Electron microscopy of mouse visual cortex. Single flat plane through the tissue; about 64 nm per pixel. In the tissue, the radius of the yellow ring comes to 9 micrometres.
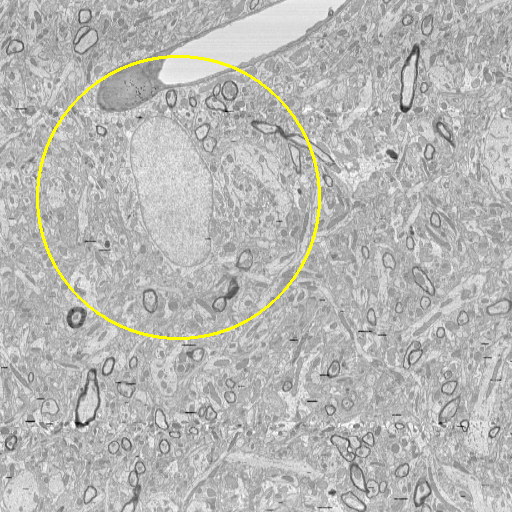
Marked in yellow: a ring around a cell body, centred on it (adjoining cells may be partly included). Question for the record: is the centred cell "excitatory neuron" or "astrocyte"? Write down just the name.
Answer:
astrocyte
